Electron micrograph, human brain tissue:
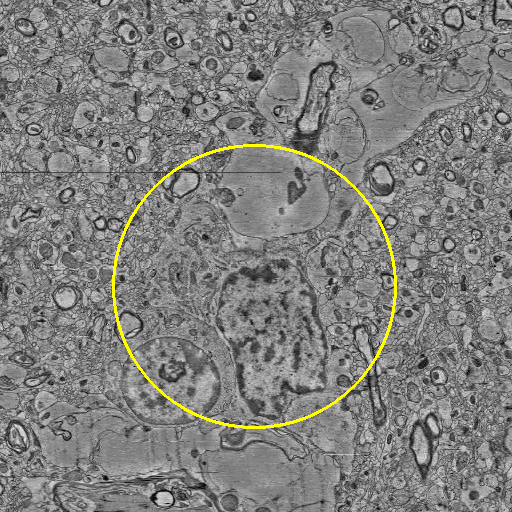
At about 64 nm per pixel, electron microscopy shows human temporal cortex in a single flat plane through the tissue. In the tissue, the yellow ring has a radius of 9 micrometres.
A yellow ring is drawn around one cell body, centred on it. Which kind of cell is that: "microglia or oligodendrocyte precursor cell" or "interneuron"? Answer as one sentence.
It is a microglial cell or oligodendrocyte precursor cell at the centre of the ring.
